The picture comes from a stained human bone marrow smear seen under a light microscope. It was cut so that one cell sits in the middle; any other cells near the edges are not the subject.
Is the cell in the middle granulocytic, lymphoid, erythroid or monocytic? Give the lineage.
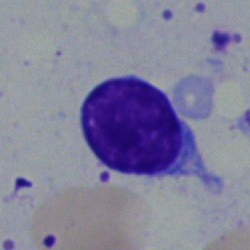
lymphoid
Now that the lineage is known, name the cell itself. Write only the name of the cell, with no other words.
lymphocyte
